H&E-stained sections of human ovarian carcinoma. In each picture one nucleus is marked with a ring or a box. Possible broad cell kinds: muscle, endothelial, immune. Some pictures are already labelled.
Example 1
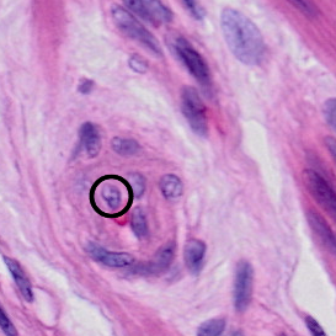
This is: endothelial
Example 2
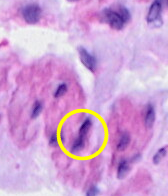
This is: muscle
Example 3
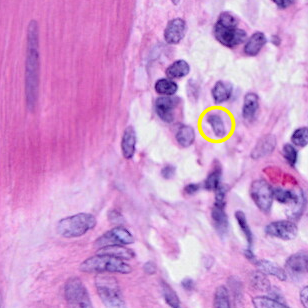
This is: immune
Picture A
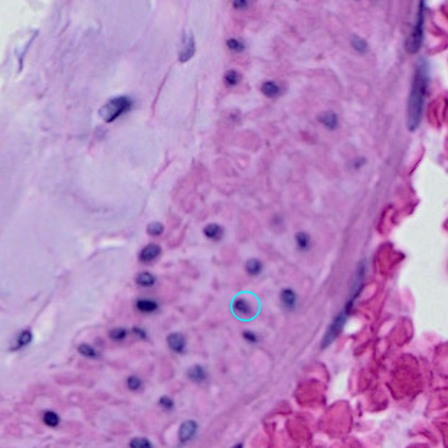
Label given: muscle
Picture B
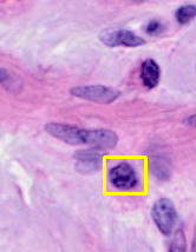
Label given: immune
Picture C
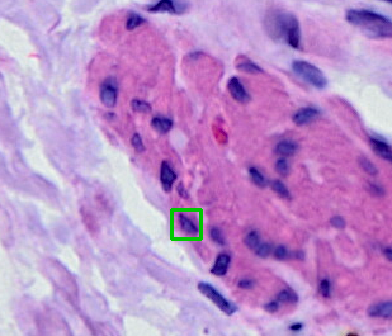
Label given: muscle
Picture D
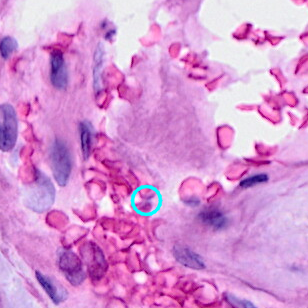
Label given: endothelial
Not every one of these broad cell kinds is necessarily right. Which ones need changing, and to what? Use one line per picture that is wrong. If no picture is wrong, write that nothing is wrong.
None of the labels needs changing.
